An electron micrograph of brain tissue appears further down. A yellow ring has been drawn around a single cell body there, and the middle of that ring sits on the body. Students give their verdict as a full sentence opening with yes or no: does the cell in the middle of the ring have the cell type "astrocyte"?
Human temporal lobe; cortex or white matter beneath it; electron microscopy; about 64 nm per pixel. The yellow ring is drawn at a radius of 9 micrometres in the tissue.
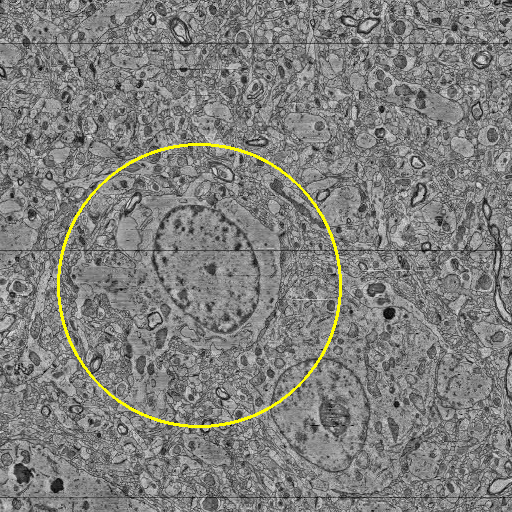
Yes, in this picture the cell sitting at the middle of the ring has that cell type.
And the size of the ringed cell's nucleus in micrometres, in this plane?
About 9 by 6 micrometres in this plane.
